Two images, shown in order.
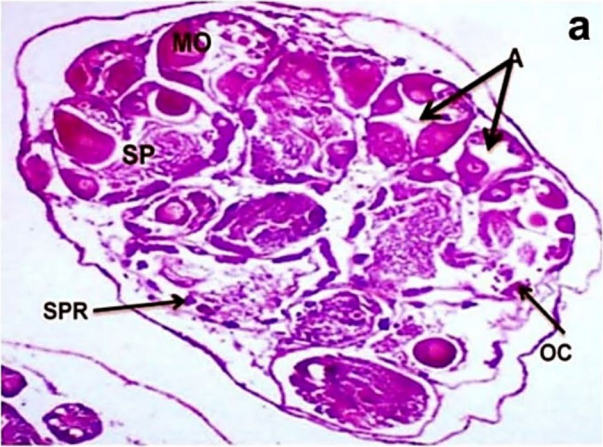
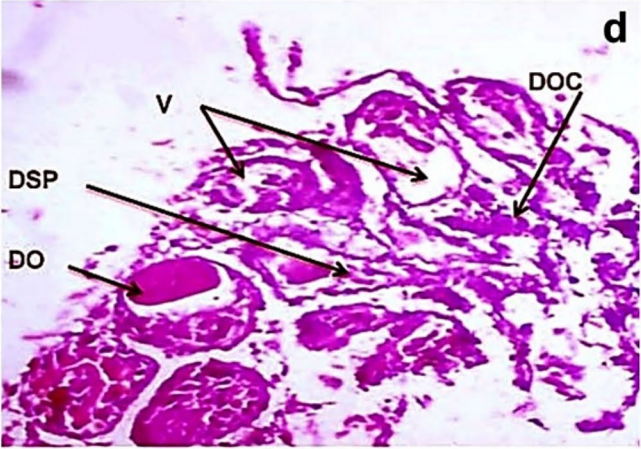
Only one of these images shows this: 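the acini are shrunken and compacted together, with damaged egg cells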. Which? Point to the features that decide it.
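Second image: collapsed, irregular, fragmented compartments with smudged dense pink egg cells. First image: rounded, well-outlined acini with intact egg cells showing clear nuclei. So: the second image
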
